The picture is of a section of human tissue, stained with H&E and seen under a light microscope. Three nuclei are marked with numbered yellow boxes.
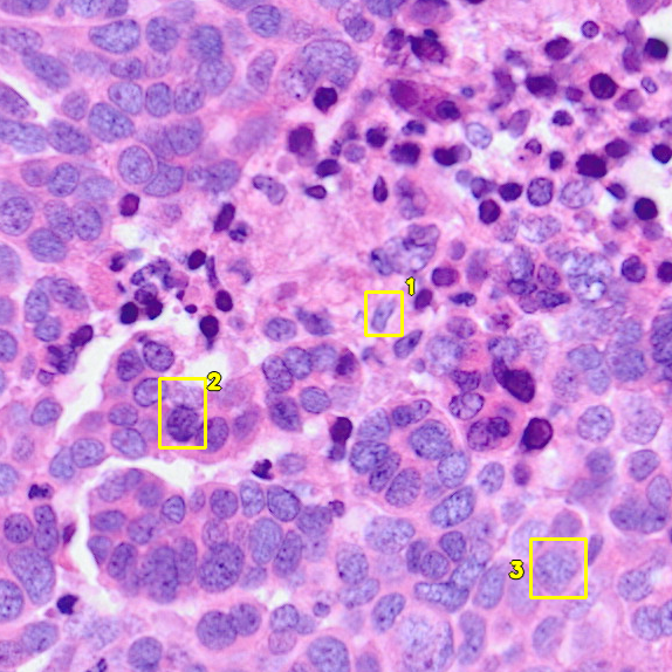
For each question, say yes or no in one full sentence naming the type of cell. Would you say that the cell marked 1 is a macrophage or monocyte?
Yes, the cell sitting at number 1 is a macrophage or monocyte.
